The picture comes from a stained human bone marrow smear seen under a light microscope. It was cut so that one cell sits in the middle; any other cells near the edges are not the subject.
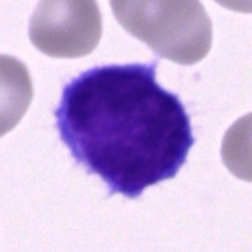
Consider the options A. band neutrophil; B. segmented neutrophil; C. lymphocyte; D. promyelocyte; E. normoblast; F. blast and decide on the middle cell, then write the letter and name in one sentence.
The cell in the centre of the crop is a lymphocyte, so option C is the correct one.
